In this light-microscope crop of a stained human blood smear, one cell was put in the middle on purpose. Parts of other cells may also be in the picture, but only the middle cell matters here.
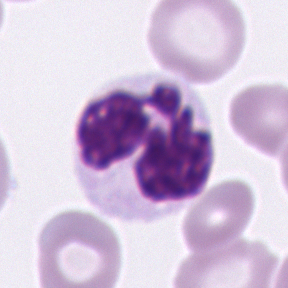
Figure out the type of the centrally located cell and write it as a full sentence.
As for the central cell, it is a segmented neutrophil.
